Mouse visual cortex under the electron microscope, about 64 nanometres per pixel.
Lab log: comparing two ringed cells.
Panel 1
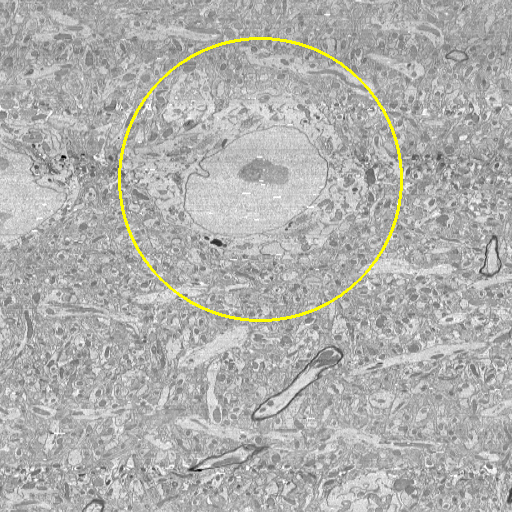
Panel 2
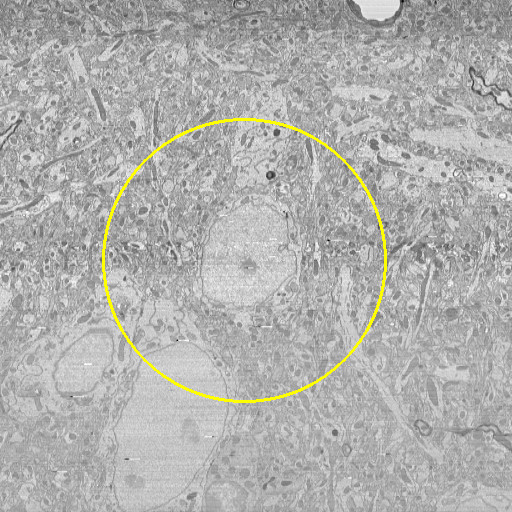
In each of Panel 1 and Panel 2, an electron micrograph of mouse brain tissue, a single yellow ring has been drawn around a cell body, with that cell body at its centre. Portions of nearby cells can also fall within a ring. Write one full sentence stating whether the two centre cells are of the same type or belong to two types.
The cells at the ring centres in Panel 1 and Panel 2 belong to two types.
